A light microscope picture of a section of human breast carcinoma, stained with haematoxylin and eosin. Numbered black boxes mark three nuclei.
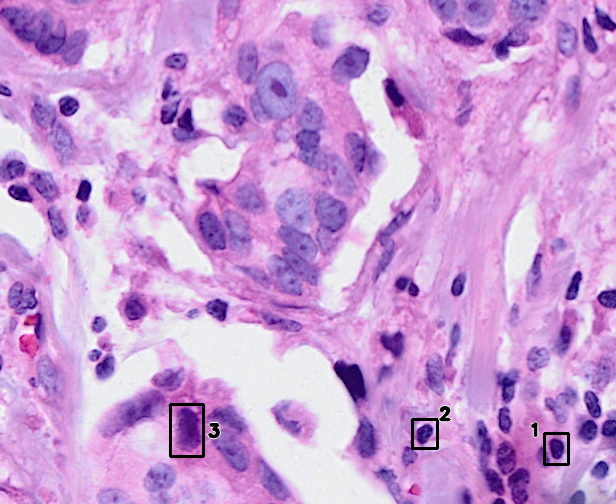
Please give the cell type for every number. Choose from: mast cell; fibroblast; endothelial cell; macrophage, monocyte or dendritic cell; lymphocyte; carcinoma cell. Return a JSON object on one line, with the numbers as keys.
{"1": "lymphocyte", "2": "lymphocyte", "3": "carcinoma cell"}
